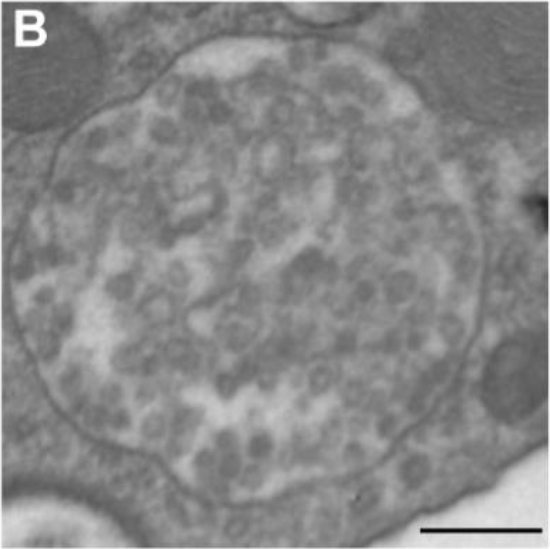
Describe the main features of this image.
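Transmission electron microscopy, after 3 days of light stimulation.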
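A multivesicular endosome in a photoreceptor appears as a large round compartment enclosed by a single thin membrane, filling most of the view. Small round intraluminal vesicles are scattered through its lumen, separated by wide pale areas of empty lumen. Dense organelles border the compartment from outside at its edges.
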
